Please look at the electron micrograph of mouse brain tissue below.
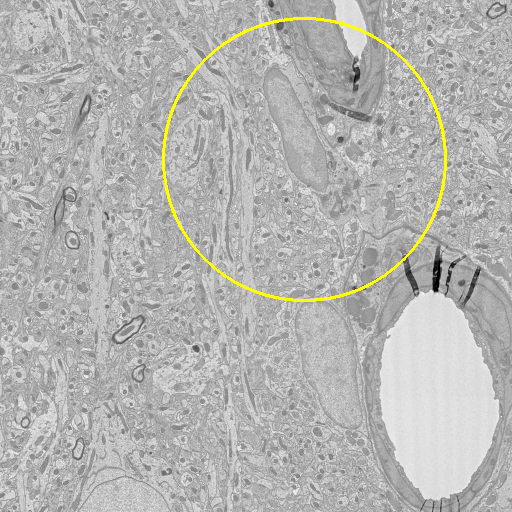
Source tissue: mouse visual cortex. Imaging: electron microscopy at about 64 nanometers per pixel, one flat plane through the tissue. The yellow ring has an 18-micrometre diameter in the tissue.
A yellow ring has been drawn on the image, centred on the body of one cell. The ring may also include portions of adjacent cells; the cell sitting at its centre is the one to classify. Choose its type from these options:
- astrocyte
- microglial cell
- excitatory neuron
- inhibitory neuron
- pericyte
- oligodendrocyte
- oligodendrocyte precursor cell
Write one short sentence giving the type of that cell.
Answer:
The cell in the middle of the ring is a microglial cell.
